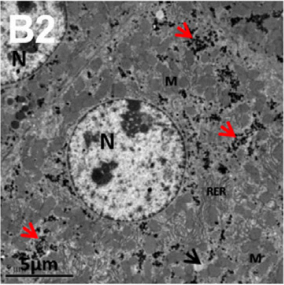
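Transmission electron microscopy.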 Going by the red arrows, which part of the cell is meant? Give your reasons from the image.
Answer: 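Glycogen granules. The red arrows point at clusters of fine black particles. The clusters lie in the cytoplasm among dark organelles.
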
